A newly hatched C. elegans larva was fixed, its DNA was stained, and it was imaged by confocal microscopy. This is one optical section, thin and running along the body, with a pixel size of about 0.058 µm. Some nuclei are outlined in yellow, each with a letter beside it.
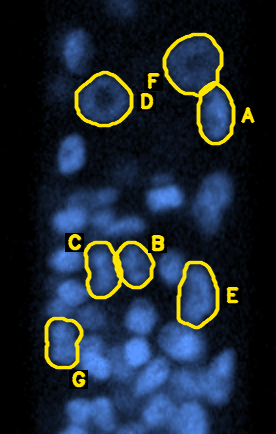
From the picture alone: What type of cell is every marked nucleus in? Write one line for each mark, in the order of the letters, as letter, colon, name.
A: body wall muscle cell
B: pharyngeal muscle cell
C: pharyngeal muscle cell
D: intestinal cell
E: neuron
F: intestinal cell
G: body wall muscle cell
